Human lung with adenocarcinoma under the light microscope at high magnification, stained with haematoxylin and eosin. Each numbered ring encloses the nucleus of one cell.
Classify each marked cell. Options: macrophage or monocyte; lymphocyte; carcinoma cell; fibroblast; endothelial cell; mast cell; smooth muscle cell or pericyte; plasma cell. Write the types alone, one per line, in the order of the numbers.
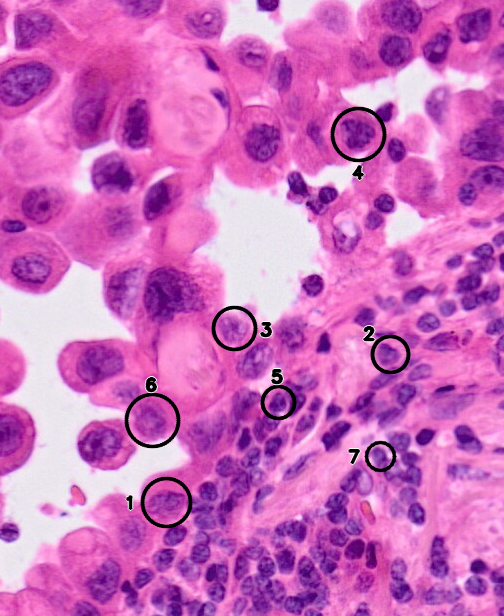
carcinoma cell
lymphocyte
carcinoma cell
carcinoma cell
lymphocyte
carcinoma cell
lymphocyte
